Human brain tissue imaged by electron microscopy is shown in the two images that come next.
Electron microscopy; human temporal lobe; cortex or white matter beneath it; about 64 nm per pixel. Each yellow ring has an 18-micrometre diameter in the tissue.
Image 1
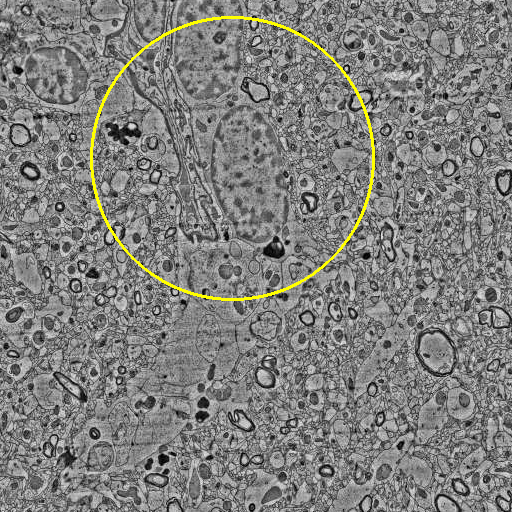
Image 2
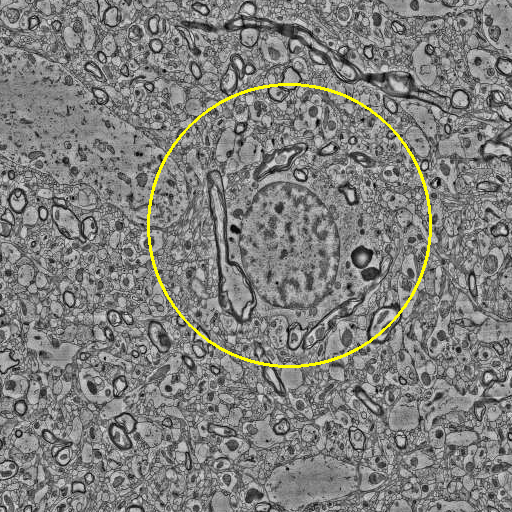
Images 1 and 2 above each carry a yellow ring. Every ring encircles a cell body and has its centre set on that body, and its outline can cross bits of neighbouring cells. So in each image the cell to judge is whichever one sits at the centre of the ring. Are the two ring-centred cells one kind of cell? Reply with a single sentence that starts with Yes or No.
Yes, in Image 1 and Image 2 the cells at the centres of their rings fall into one type.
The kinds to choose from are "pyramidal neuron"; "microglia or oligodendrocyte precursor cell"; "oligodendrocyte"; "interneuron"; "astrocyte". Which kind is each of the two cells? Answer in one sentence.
Both rings mark an oligodendrocyte, one in each picture.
